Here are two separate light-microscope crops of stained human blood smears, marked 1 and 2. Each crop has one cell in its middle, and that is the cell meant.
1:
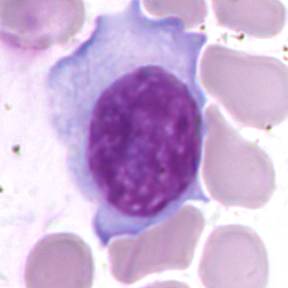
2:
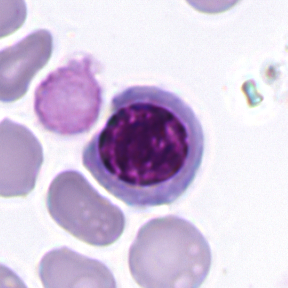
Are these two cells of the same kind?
no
